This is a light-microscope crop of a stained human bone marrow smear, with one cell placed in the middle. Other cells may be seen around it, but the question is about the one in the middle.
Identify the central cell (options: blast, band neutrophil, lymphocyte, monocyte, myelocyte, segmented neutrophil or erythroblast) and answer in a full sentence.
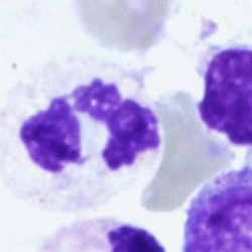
Centred in the crop is a segmented neutrophil.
